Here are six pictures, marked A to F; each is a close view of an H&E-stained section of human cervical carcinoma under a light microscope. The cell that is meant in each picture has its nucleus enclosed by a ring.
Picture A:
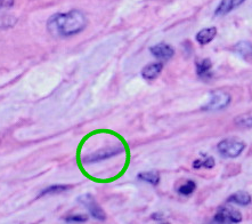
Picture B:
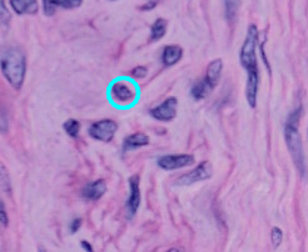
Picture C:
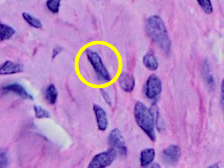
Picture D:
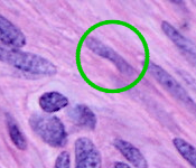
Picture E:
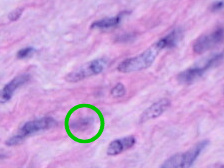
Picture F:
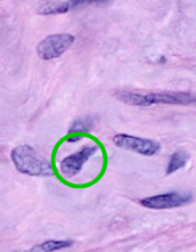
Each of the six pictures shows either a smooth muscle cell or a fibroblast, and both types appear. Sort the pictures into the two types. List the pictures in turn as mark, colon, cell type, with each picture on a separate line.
A: fibroblast
B: smooth muscle cell
C: fibroblast
D: smooth muscle cell
E: smooth muscle cell
F: fibroblast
